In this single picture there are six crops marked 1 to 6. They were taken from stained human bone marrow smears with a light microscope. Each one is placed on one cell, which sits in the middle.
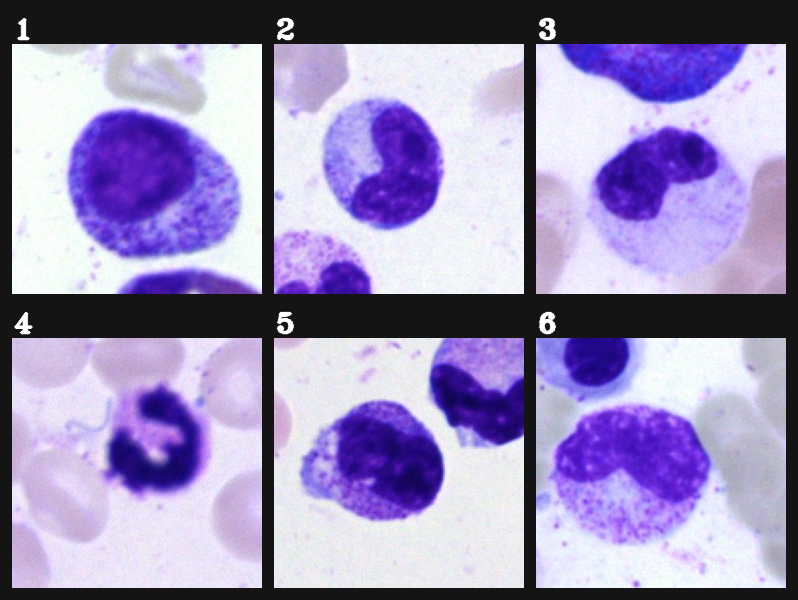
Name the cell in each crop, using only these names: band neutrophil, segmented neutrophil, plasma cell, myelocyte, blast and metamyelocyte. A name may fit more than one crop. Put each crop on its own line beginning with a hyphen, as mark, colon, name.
- 1: myelocyte
- 2: band neutrophil
- 3: metamyelocyte
- 4: segmented neutrophil
- 5: metamyelocyte
- 6: band neutrophil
